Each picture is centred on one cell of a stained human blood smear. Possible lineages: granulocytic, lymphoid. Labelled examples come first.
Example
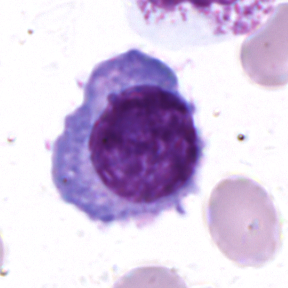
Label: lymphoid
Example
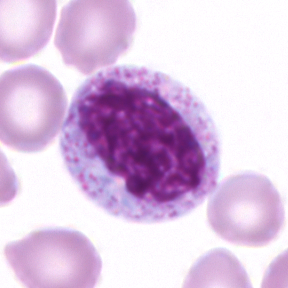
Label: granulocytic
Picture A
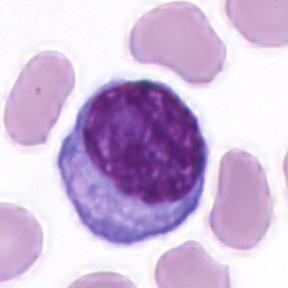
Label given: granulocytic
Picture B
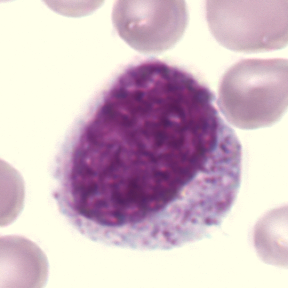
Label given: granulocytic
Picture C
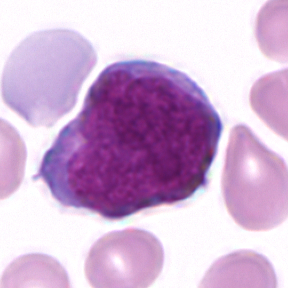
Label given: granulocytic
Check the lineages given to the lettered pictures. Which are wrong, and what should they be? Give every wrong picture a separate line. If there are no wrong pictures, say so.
Wrong: A (granulocytic); correct: lymphoid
